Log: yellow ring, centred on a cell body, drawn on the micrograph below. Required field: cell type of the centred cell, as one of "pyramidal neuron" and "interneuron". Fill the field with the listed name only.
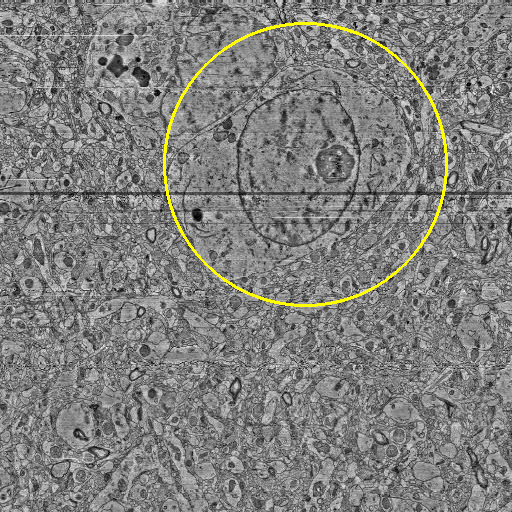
pyramidal neuron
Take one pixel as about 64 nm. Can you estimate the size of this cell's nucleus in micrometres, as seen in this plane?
The ringed cell's nucleus measures approximately 10 by 8 micrometres in this plane.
